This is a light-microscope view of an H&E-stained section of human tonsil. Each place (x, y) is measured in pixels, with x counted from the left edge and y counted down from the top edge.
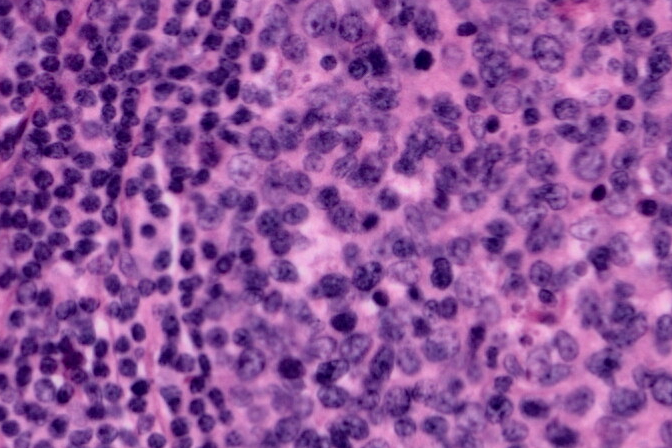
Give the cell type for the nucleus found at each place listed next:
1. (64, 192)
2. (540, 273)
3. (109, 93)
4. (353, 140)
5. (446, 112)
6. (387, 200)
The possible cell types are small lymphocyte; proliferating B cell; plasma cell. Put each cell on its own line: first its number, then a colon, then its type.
1: small lymphocyte
2: proliferating B cell
3: small lymphocyte
4: proliferating B cell
5: proliferating B cell
6: proliferating B cell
